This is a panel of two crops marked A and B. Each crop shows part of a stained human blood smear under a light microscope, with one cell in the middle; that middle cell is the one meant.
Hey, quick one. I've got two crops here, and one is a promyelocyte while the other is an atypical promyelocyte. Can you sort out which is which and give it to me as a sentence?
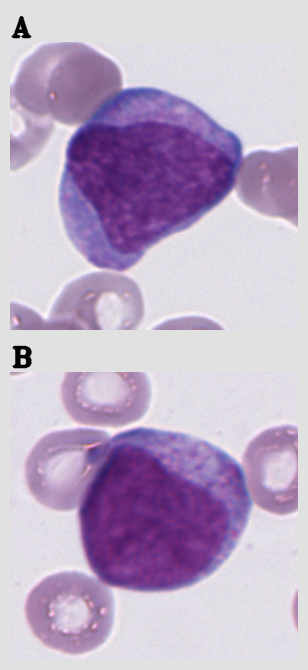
The middle cell in crop A is an atypical promyelocyte; the middle cell in crop B is a promyelocyte.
